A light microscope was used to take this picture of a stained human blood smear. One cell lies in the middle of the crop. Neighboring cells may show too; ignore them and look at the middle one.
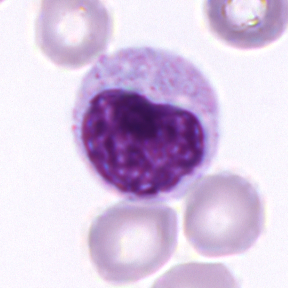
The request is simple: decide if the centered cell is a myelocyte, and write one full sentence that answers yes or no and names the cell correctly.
No, the central cell is not to be called a myelocyte, being a metamyelocyte.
